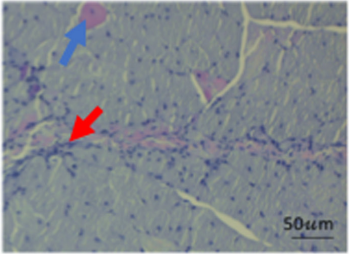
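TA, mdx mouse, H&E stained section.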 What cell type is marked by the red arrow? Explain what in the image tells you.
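The red arrow points at a band of small dark nuclei running between muscle fibres.
Hence: inflammatory cells.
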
